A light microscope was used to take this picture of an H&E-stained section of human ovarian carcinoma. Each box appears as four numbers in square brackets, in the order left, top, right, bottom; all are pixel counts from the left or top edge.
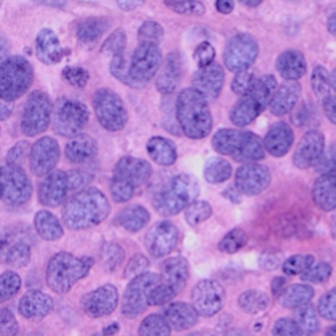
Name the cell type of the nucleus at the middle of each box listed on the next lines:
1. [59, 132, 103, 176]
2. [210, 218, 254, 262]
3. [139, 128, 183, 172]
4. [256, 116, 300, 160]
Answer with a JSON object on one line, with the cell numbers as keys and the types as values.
{"1": "carcinoma cell", "2": "macrophage or monocyte", "3": "macrophage or monocyte", "4": "carcinoma cell"}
